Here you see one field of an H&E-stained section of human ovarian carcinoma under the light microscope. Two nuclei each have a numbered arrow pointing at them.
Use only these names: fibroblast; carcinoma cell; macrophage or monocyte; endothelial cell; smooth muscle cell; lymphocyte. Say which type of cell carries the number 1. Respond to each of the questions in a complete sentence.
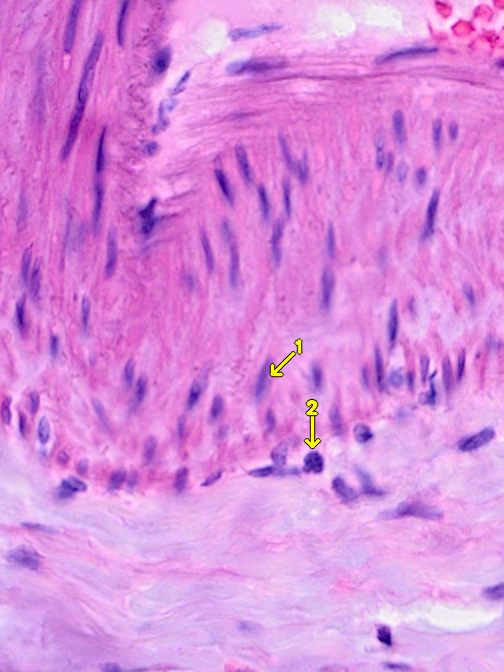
Nucleus 1 in this section belongs to a smooth muscle cell.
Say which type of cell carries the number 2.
The numbered cell 2 is identified here as a lymphocyte.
